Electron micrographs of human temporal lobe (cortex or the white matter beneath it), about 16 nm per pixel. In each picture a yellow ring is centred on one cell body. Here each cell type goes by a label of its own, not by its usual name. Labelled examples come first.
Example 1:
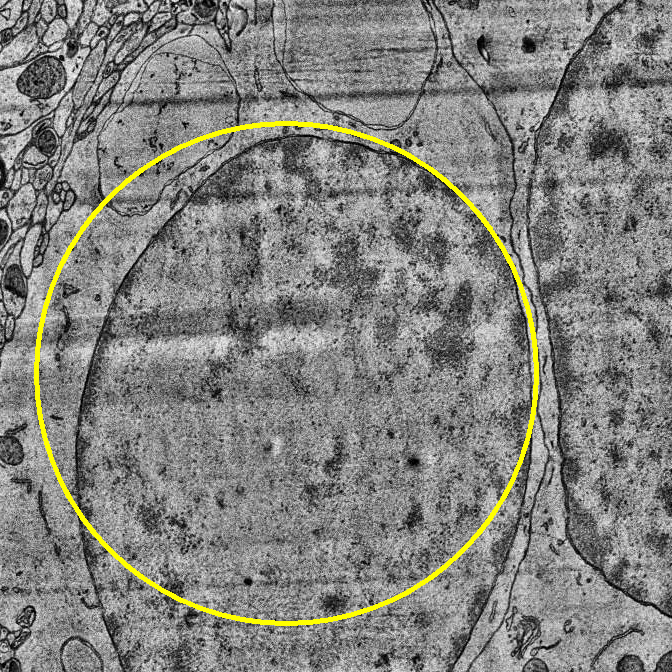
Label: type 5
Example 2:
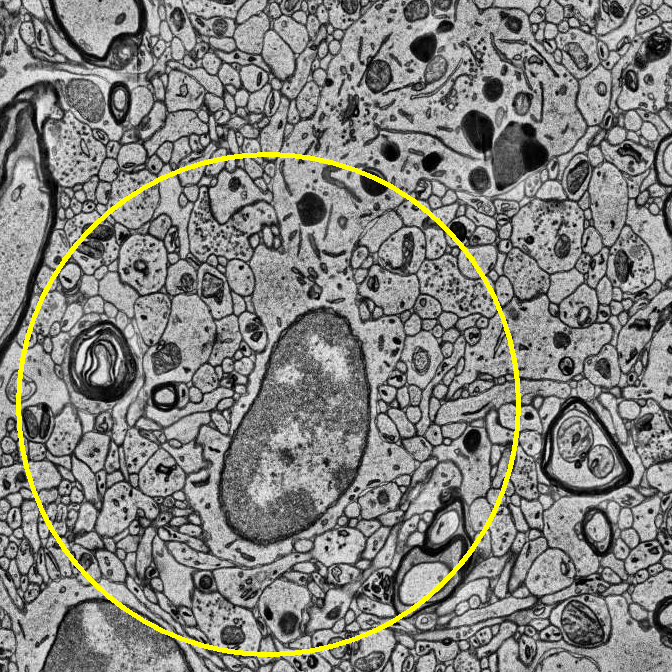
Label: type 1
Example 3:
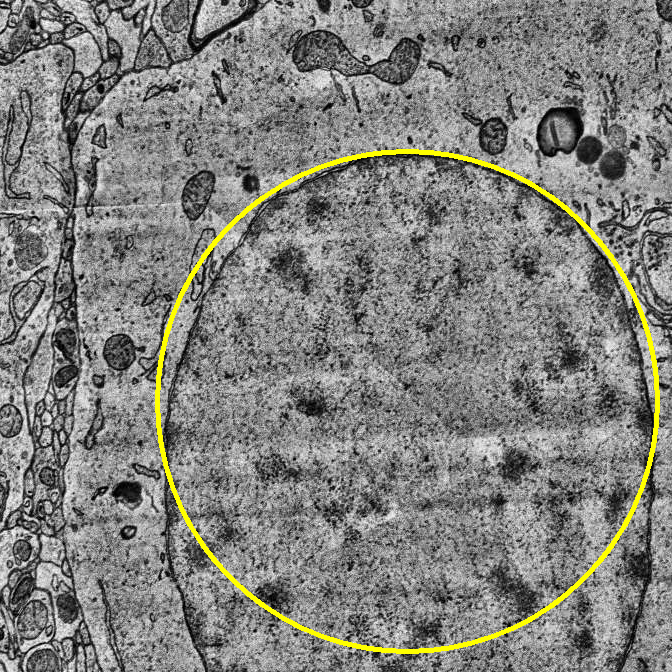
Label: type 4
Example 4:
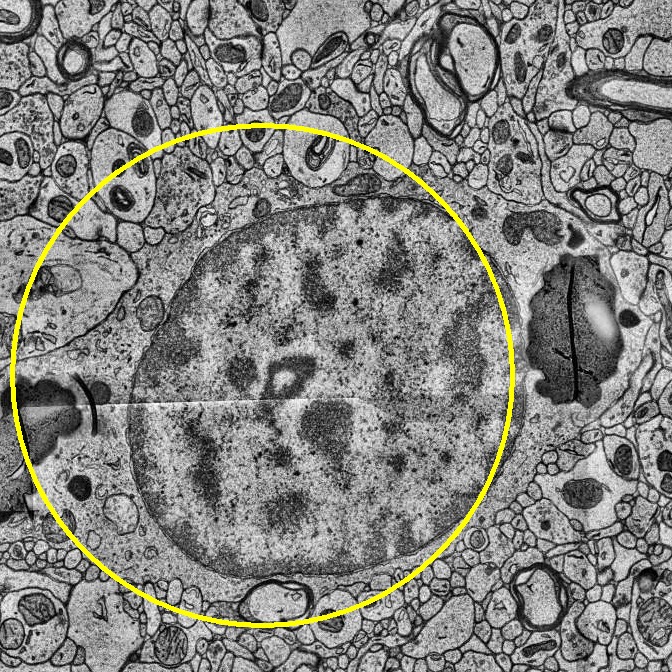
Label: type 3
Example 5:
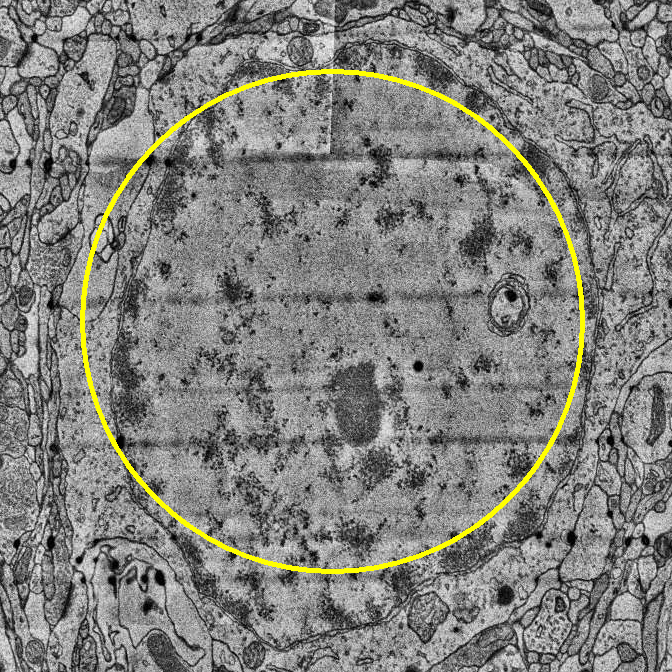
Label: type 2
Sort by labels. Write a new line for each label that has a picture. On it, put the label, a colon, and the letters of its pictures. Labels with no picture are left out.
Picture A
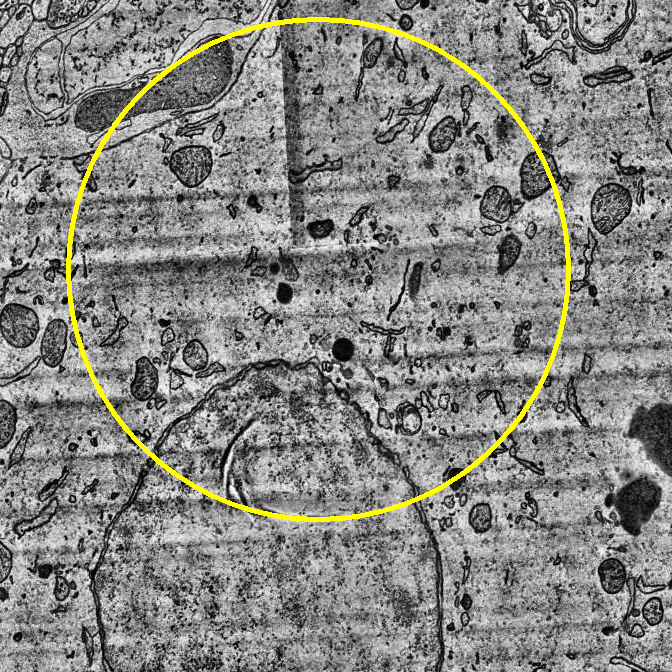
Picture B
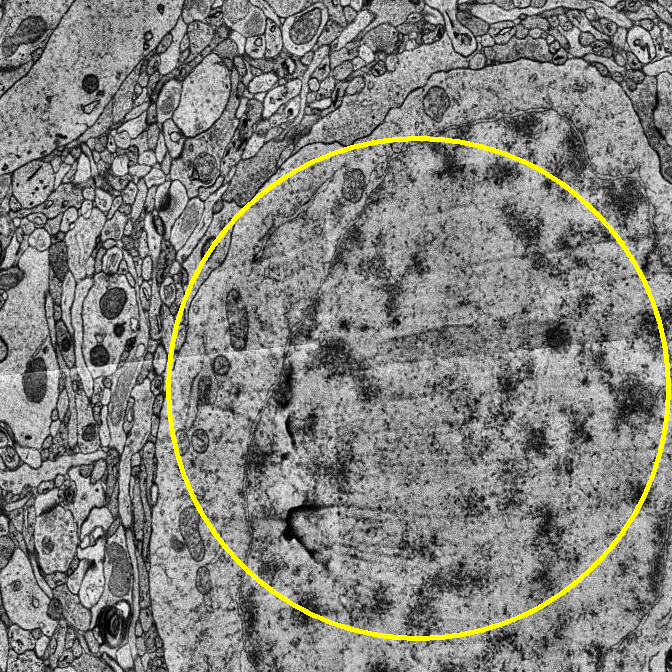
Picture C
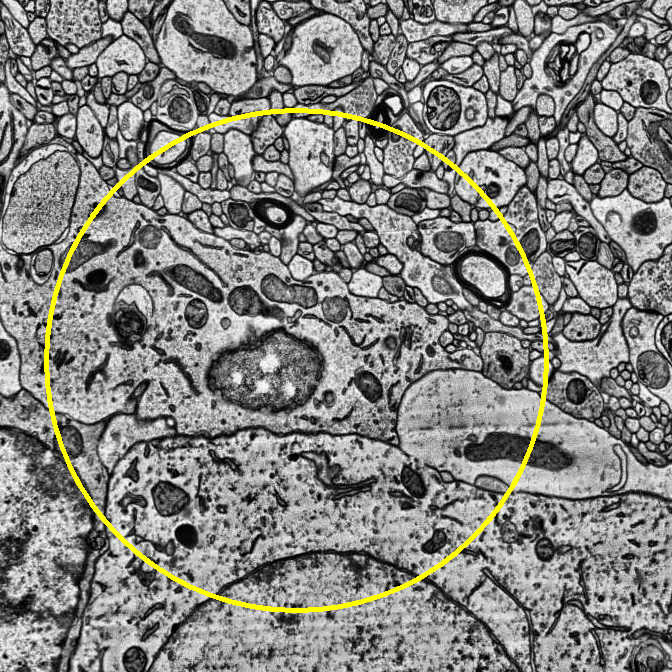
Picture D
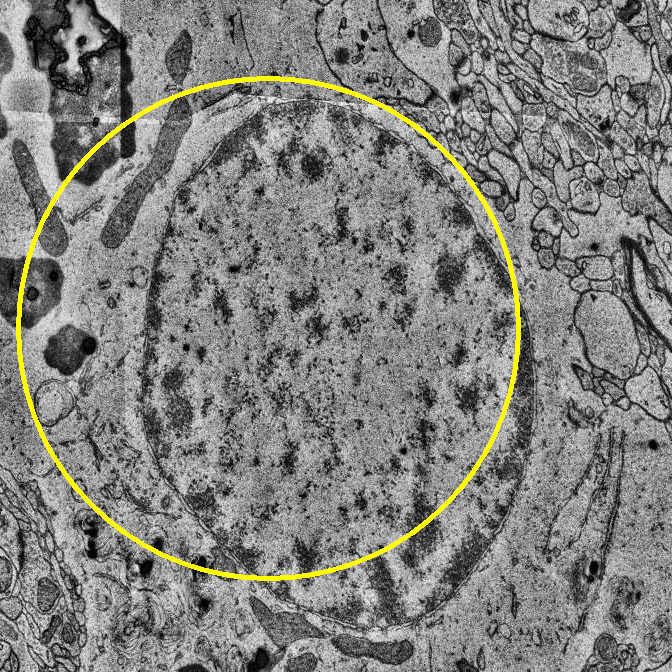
type 5: D
type 1: C
type 3: A
type 2: B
